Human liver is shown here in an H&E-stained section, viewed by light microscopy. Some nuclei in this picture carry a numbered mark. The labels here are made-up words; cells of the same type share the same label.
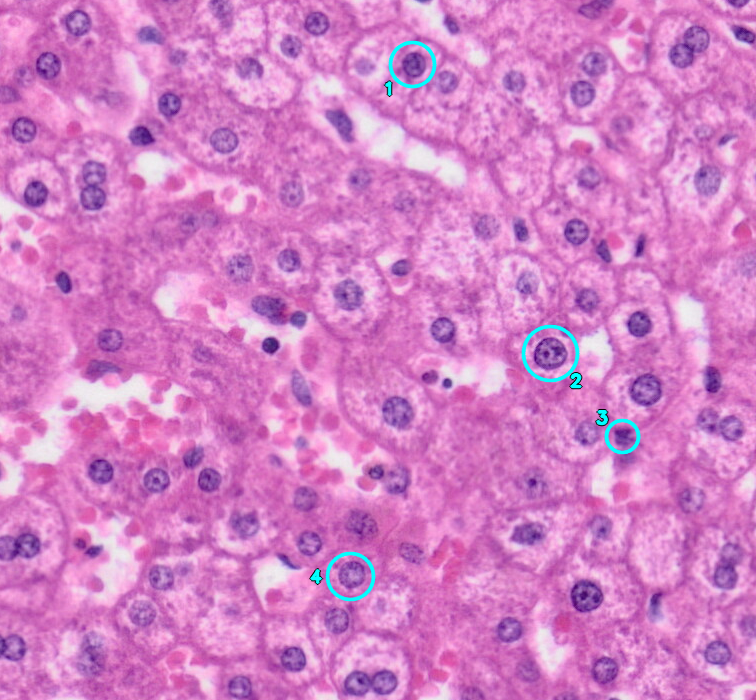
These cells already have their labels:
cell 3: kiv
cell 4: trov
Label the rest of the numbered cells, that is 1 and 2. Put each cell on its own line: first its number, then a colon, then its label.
1: trov
2: trov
